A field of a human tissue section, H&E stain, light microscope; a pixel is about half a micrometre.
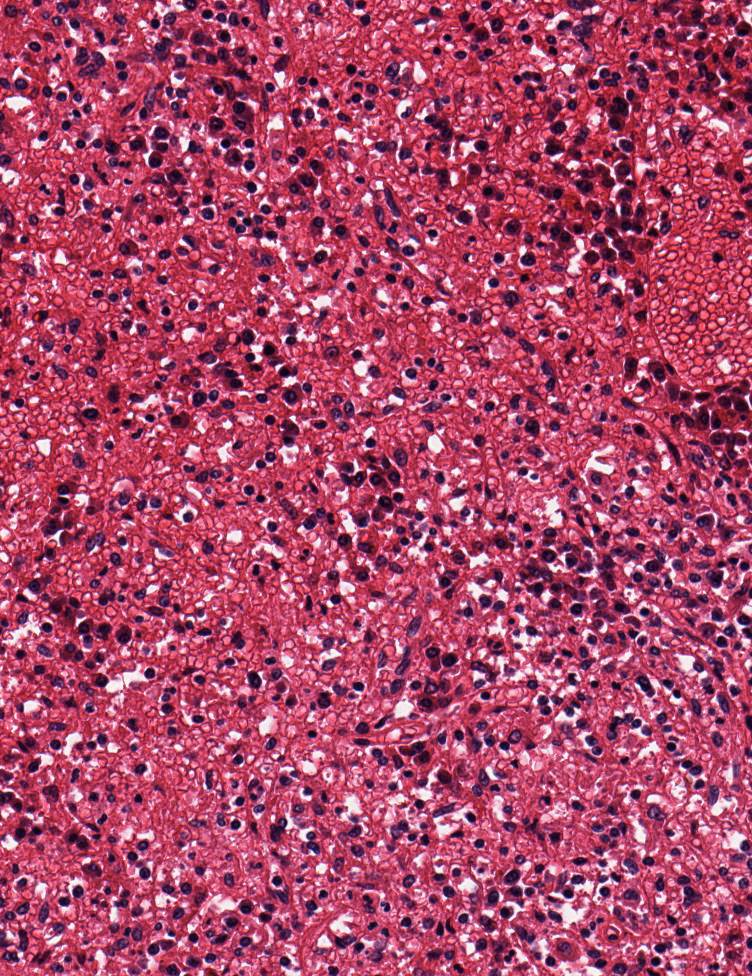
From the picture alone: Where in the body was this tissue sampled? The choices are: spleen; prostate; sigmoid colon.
spleen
